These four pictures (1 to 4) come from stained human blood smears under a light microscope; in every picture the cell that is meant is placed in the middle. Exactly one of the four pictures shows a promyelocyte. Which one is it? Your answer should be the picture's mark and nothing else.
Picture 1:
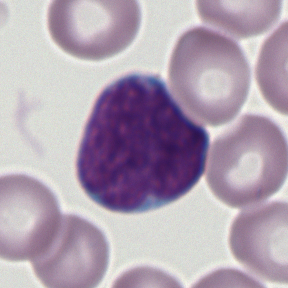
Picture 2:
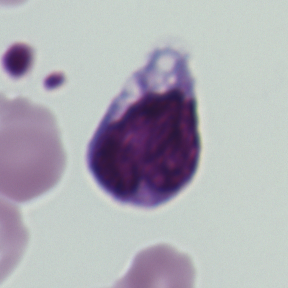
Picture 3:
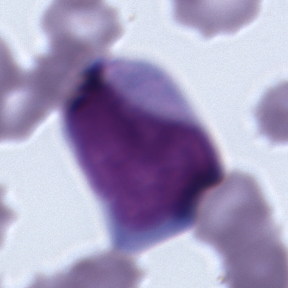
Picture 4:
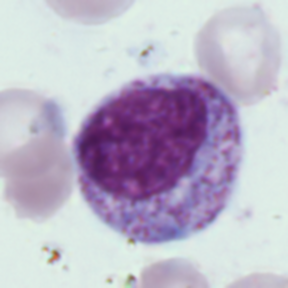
4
